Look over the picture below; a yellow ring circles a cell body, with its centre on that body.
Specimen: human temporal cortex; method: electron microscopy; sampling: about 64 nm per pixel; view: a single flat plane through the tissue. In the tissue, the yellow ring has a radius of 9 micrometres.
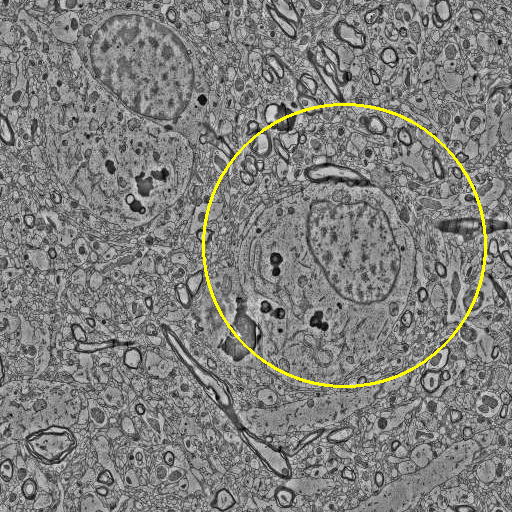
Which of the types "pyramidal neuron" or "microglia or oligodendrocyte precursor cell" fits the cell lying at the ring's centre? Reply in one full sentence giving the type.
The picture shows a pyramidal neuron at the centre of the yellow ring.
